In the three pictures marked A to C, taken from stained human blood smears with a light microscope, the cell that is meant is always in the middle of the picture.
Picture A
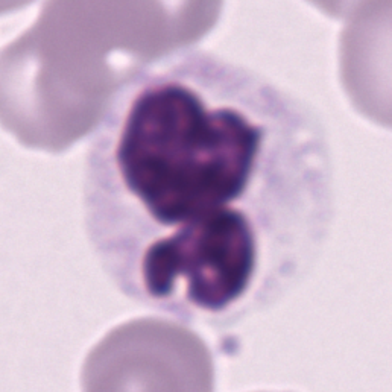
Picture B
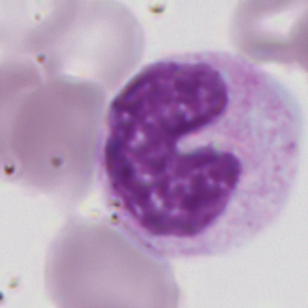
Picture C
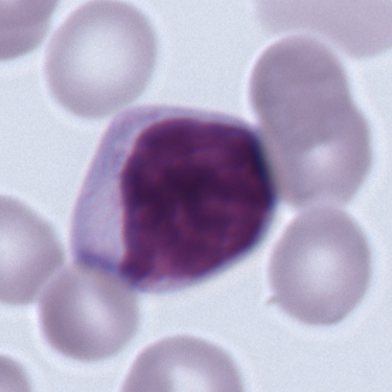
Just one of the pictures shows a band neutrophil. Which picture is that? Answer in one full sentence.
The picture with the band neutrophil is B.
